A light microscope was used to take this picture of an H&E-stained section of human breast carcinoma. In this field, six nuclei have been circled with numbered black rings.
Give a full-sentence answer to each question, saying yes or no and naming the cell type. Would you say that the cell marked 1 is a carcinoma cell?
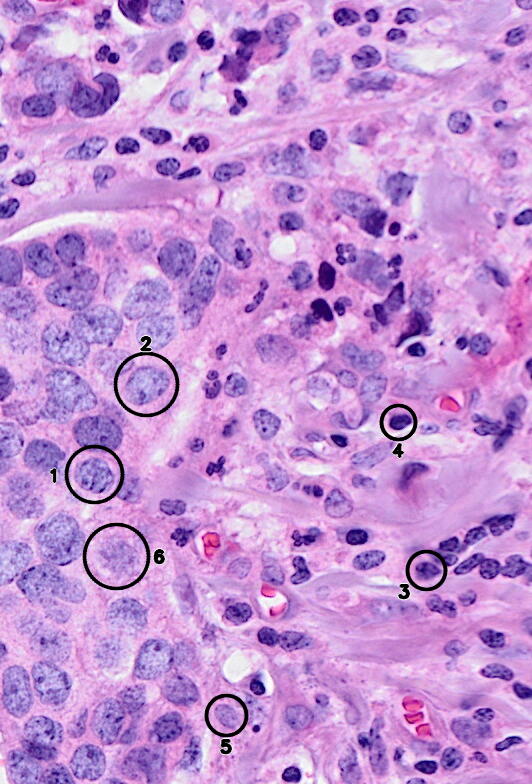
Yes, that is correct: the cell numbered 1 is a carcinoma cell.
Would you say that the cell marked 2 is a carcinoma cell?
Yes, cell number 2 in this section is a carcinoma cell.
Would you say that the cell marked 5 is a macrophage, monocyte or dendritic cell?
Yes, in this section the cell numbered 5 is a macrophage, monocyte or dendritic cell.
